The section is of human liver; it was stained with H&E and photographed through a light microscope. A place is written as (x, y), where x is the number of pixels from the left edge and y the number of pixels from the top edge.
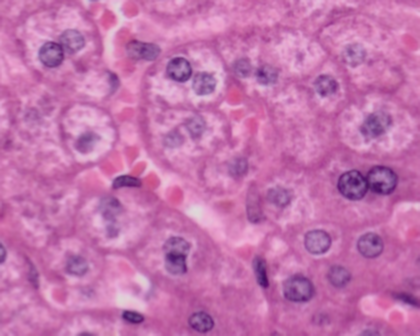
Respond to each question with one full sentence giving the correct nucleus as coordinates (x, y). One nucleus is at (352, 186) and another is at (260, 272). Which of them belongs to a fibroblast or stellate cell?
It is the nucleus at (260, 272), not the other one, that belongs to a fibroblast or stellate cell.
